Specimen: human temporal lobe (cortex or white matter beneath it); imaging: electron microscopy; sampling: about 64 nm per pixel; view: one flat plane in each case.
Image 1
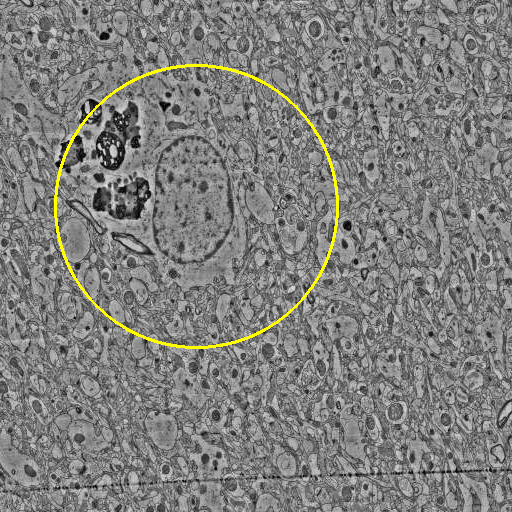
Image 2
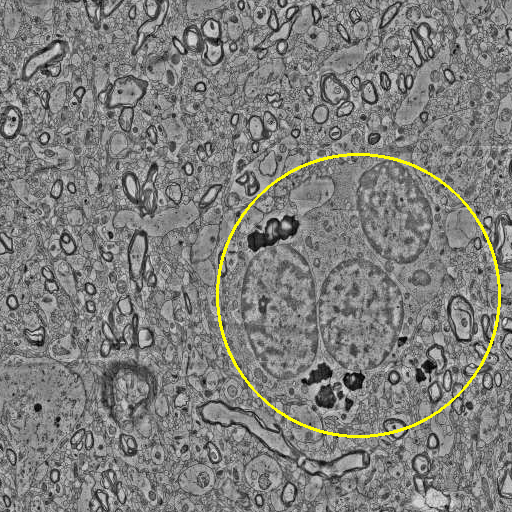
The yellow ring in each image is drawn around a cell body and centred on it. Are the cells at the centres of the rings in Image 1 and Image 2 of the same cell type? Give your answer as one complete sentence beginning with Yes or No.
No, the two cells are of two separate types.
